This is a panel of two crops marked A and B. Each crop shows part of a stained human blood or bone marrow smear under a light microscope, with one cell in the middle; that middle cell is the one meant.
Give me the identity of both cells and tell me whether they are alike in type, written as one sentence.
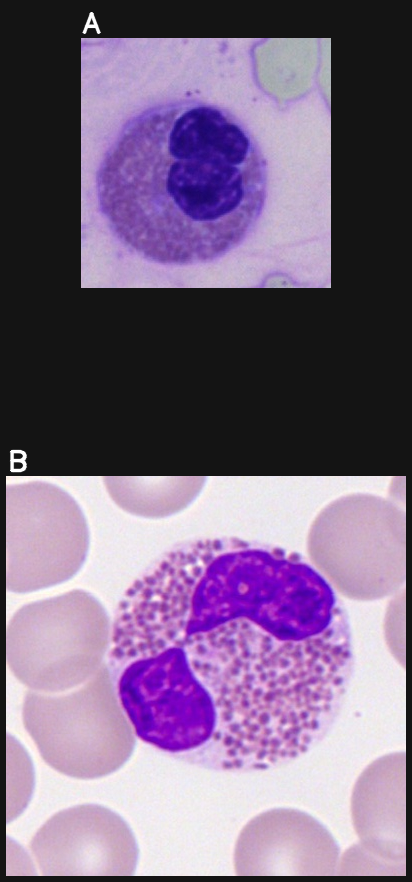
Yes, shown in both crops are eosinophils.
